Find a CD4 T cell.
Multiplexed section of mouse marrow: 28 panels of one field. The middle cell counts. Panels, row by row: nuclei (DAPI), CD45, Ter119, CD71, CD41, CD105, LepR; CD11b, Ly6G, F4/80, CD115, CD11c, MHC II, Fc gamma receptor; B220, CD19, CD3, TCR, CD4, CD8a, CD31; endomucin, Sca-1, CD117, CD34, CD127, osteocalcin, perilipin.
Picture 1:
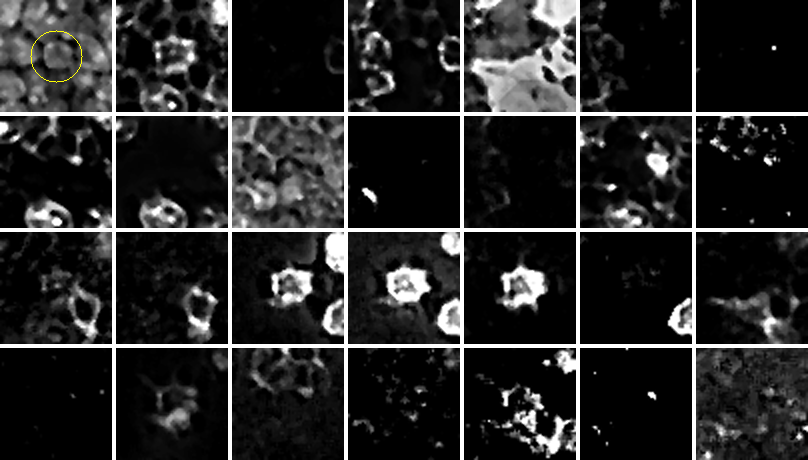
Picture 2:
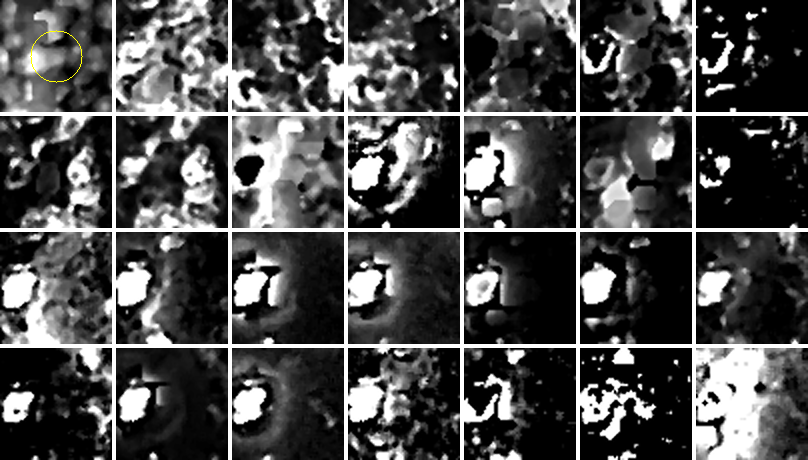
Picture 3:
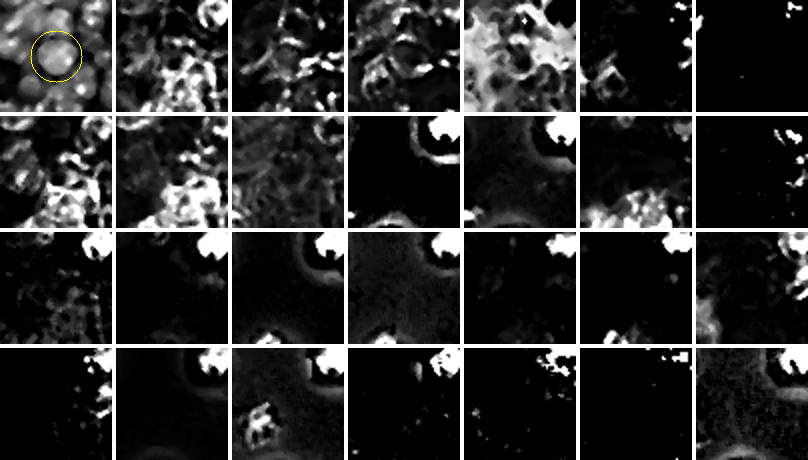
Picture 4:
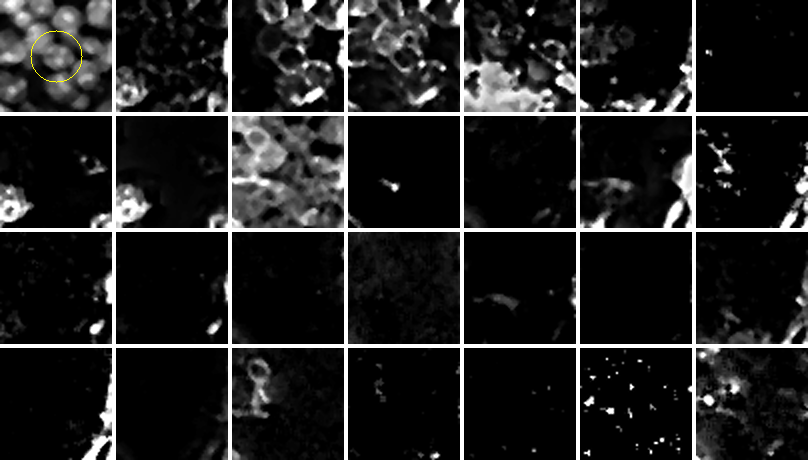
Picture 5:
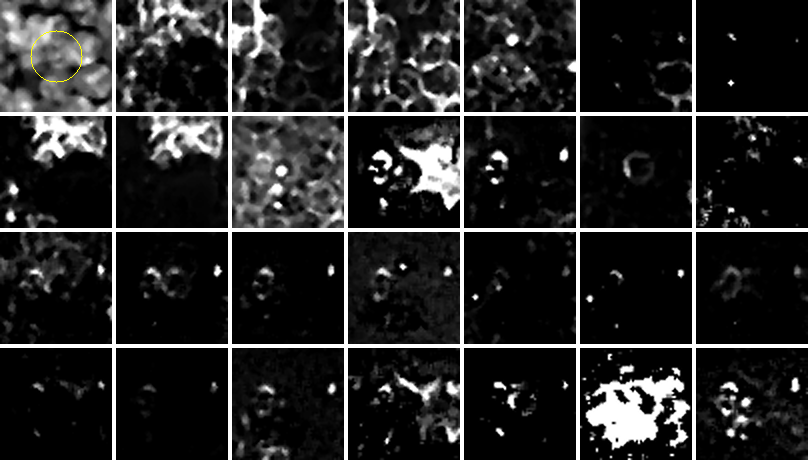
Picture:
1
